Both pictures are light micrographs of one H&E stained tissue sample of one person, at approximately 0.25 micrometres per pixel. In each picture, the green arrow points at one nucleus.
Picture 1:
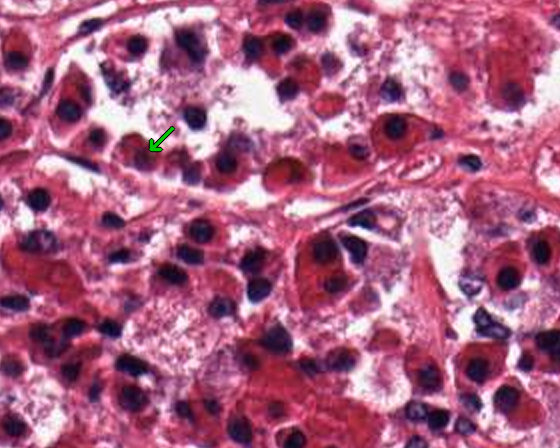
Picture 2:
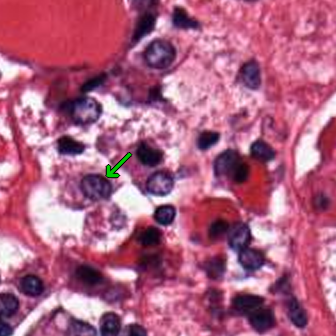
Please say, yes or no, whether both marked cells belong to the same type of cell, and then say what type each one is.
Yes, both are anterior pituitary cells.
